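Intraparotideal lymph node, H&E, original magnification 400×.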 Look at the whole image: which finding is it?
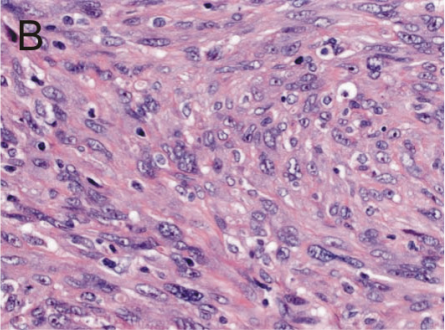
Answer: moderate cellular pleomorphy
